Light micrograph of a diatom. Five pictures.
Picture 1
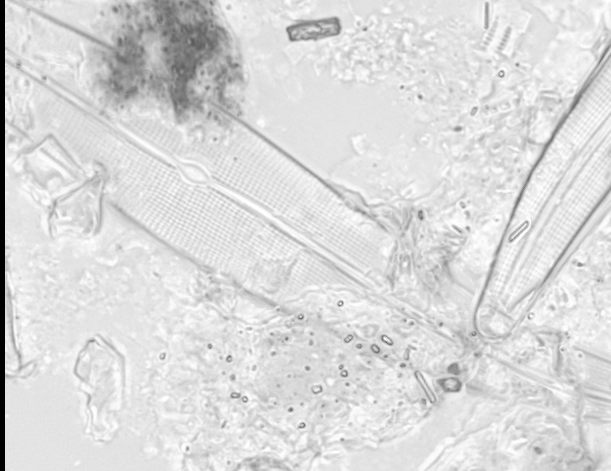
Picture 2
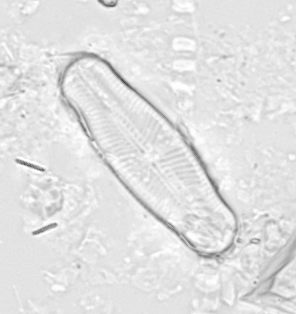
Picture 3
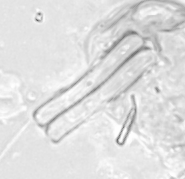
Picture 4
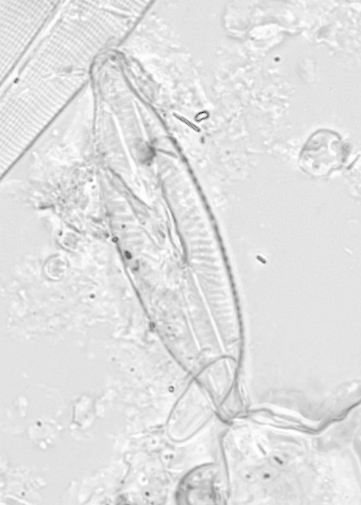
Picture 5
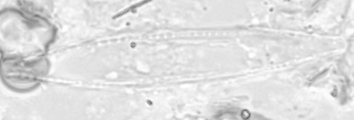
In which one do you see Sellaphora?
In picture 2.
